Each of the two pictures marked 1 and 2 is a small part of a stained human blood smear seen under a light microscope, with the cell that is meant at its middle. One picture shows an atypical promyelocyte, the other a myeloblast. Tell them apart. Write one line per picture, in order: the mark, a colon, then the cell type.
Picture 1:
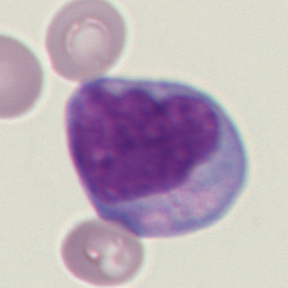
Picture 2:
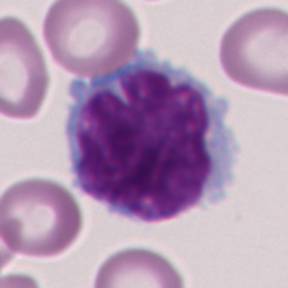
1: atypical promyelocyte
2: myeloblast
